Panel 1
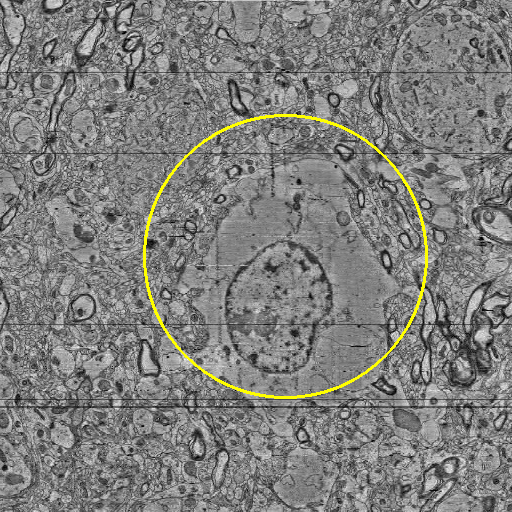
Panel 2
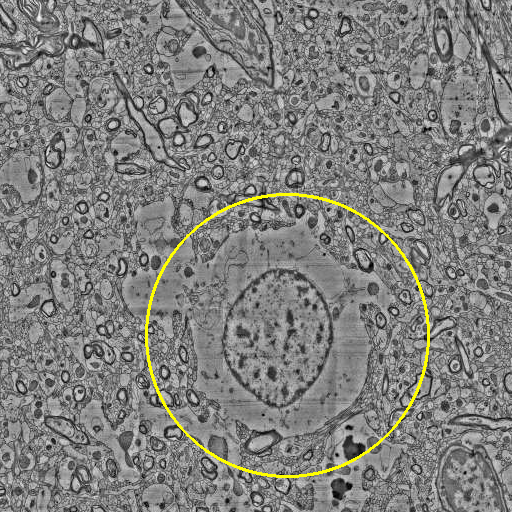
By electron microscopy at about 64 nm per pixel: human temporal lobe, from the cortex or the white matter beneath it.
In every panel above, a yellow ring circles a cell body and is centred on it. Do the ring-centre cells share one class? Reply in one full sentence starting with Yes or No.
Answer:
Yes, the two cells at the ring centres in the panels belong to one class.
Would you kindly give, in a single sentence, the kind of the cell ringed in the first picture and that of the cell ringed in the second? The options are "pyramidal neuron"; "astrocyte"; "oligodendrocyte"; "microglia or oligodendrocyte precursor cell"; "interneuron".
Each of the two rings surrounds an astrocyte.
